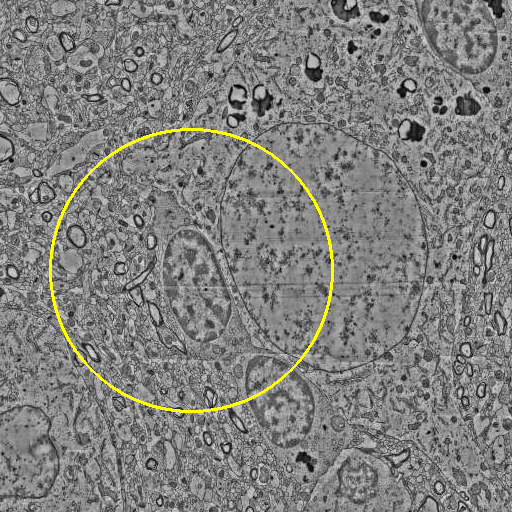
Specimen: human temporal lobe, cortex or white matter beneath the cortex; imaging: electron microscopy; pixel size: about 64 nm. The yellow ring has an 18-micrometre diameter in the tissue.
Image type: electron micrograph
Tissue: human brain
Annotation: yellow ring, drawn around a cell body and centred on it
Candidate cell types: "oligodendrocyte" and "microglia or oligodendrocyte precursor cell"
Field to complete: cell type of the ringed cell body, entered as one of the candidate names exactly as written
oligodendrocyte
